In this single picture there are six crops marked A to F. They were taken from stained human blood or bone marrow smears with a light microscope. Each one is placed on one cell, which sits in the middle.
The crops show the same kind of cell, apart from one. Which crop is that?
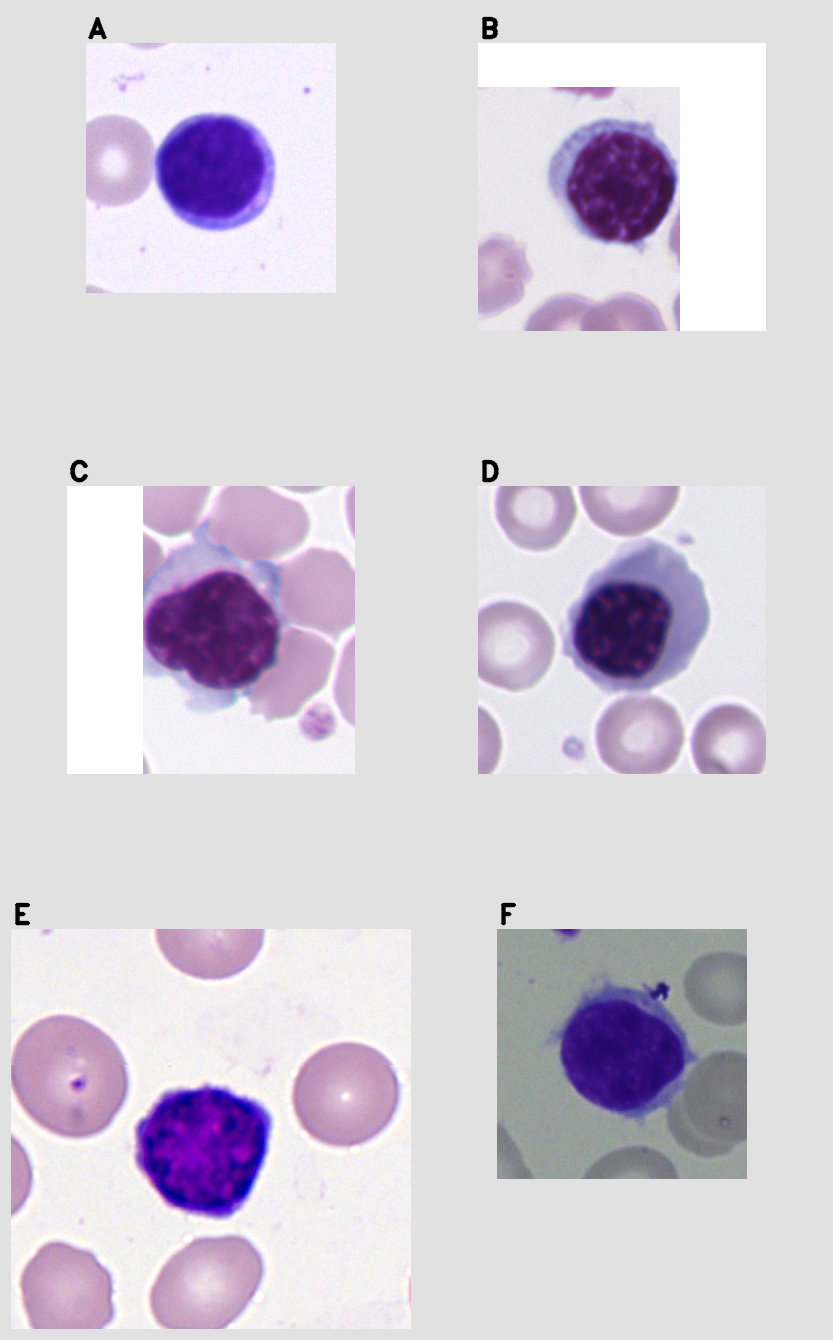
D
